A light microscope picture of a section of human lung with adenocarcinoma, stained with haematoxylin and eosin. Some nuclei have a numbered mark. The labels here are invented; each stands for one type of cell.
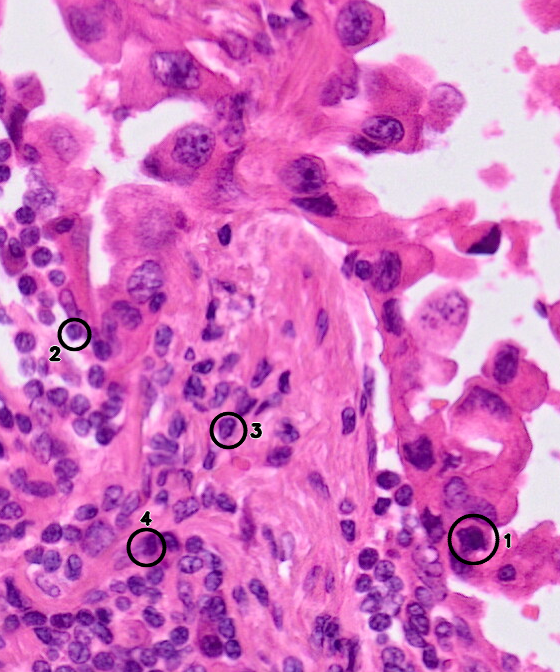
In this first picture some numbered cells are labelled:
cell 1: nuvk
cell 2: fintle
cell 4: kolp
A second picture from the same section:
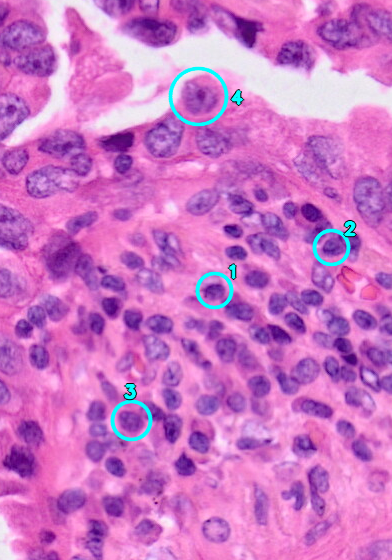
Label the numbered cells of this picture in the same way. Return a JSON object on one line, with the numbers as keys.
{"1": "fintle", "2": "fintle", "3": "kolp", "4": "nuvk"}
